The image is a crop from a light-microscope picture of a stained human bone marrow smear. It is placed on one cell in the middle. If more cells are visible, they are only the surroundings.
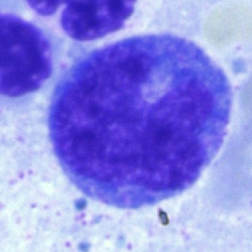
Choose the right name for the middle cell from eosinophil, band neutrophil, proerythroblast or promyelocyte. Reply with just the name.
promyelocyte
